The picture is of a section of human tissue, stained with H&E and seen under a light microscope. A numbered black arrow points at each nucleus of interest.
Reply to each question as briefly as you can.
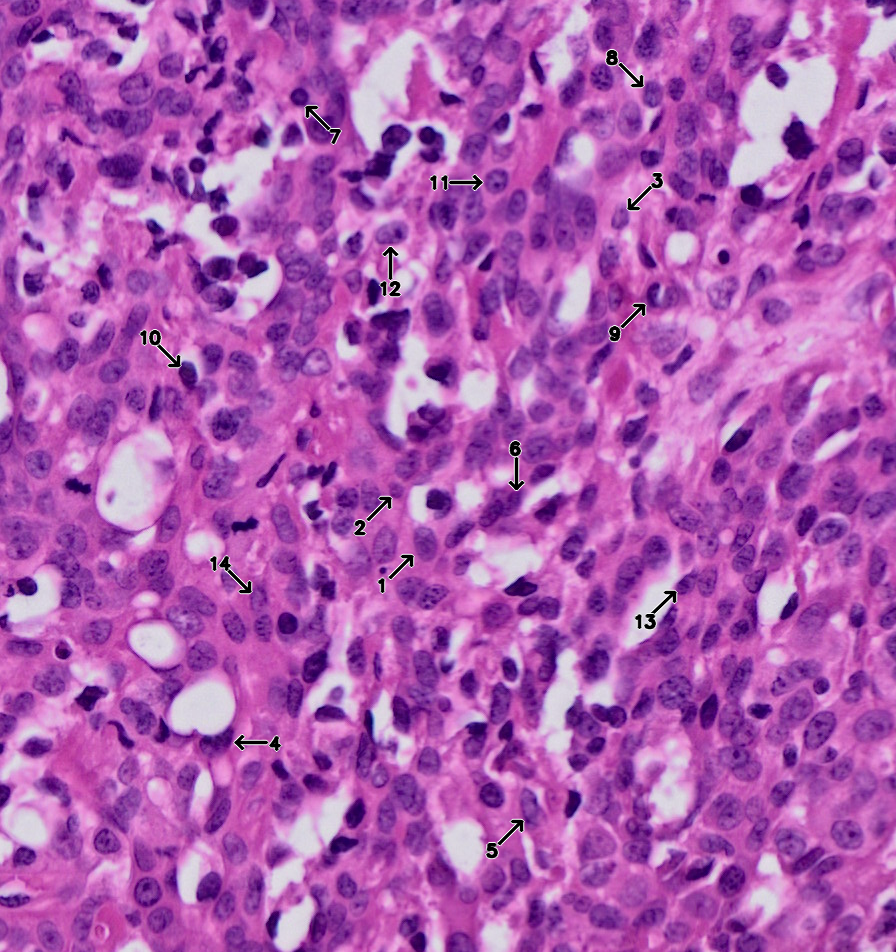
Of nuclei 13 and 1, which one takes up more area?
1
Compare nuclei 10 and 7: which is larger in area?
10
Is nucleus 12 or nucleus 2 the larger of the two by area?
12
